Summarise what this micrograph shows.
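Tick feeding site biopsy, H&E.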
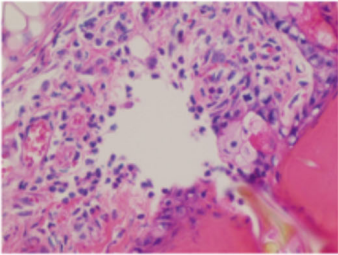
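A central irregular empty cavity lies in loose pink connective tissue. Around it the dermis is crowded with small cells with dark purple round to lobed nuclei and scant cytoplasm, packed most densely at the cavity rim. Small blood vessels with red cells lie at left.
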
